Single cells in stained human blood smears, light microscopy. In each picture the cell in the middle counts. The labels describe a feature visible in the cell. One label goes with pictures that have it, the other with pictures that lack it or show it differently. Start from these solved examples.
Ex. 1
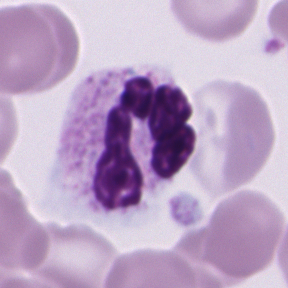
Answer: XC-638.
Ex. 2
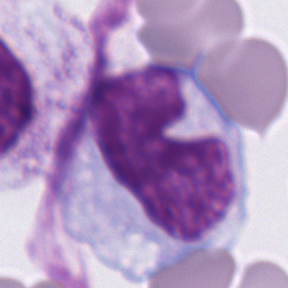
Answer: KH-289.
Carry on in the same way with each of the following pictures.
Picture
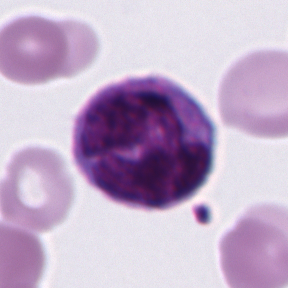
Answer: XC-638.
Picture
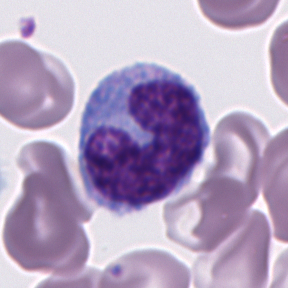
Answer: XC-638.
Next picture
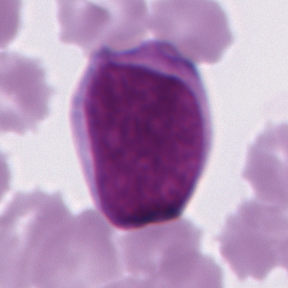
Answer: XC-638.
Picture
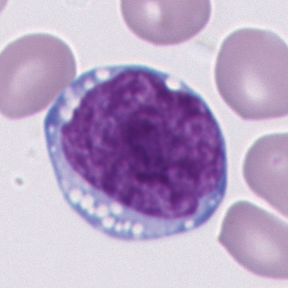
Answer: KH-289.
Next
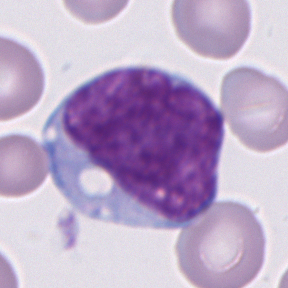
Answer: KH-289.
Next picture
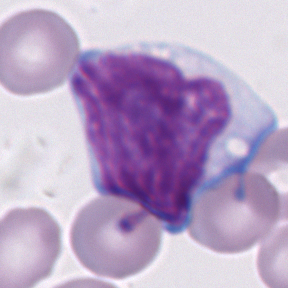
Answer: KH-289.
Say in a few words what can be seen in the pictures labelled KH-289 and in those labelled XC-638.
In KH-289: vacuoles present. In XC-638: no vacuoles.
